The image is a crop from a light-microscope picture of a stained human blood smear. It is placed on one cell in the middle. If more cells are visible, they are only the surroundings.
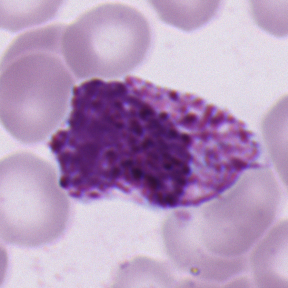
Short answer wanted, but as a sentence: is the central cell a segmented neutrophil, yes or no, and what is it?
No; rather than a segmented neutrophil, the cell at the center is a basophil.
